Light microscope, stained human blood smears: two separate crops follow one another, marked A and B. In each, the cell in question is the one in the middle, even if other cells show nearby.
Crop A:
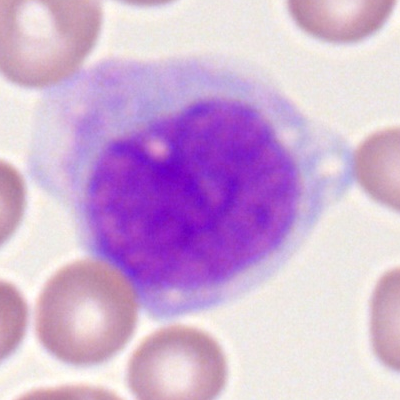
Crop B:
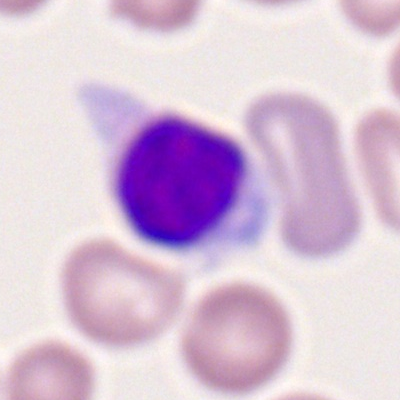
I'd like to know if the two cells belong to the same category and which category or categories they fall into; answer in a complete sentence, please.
No, crop B centres on a lymphocyte, and crop A centres on a blast.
